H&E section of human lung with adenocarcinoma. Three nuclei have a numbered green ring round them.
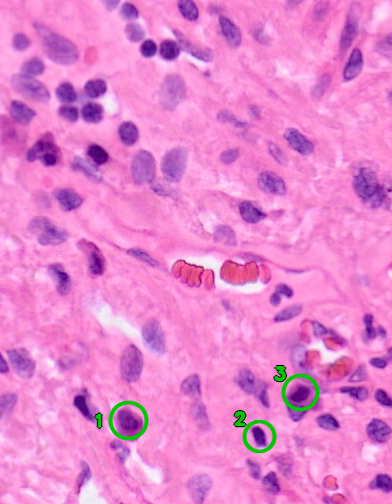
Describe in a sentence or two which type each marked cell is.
Cell 1 is a plasma cell, cell 2 is a lymphocyte and cell 3 is a plasma cell.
